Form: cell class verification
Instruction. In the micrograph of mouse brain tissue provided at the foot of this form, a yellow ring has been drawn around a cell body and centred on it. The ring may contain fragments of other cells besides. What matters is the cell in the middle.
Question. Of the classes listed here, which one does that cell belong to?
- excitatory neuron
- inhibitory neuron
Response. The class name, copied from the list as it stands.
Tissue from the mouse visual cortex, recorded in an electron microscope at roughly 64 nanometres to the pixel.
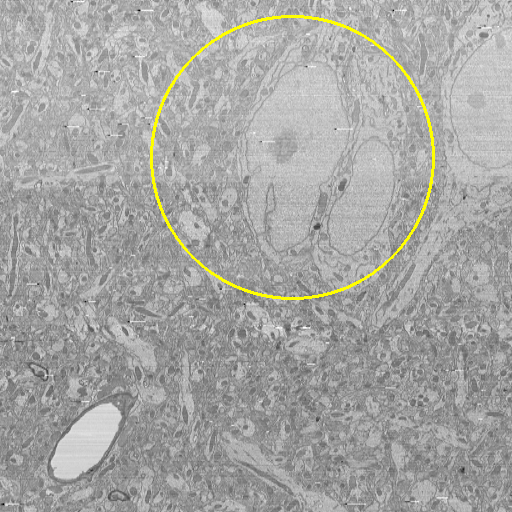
inhibitory neuron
